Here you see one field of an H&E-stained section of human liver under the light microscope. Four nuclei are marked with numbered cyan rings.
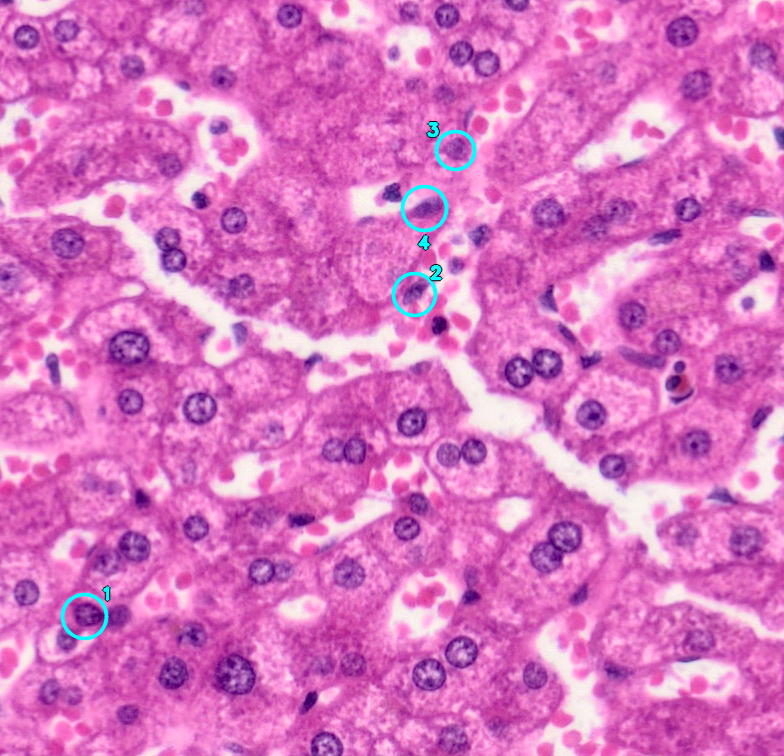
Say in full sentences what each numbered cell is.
Cell 1 is a hepatocyte, cell 2 is a Kupffer cell, cell 3 is a hepatocyte and cell 4 is a fibroblast or stellate cell.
